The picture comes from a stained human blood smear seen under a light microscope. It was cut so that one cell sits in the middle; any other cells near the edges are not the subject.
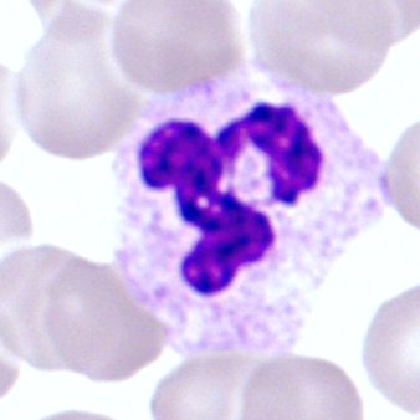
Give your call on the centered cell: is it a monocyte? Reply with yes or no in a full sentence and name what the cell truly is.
No, in this crop the middle cell is a neutrophil, not a monocyte.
